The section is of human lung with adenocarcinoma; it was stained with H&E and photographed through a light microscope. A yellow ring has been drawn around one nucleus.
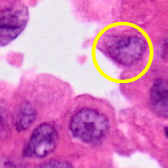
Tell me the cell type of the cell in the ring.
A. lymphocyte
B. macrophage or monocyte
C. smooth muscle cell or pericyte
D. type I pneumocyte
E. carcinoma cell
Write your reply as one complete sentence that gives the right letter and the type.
In keeping with option E, the cell in the ring is a carcinoma cell.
